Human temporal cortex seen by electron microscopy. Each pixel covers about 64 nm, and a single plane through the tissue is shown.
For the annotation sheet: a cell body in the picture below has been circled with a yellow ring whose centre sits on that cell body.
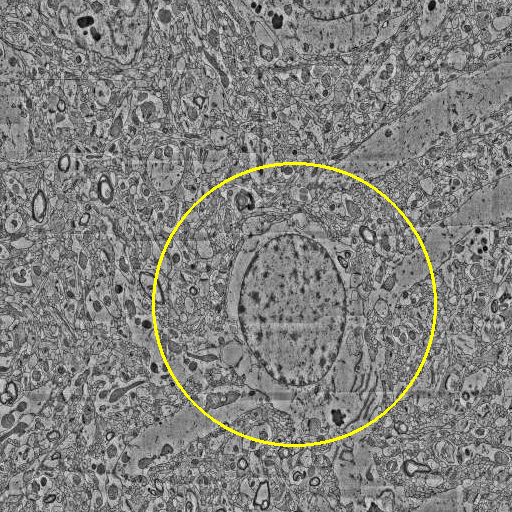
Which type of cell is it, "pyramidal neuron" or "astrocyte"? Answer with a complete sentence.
The circled cell is an astrocyte.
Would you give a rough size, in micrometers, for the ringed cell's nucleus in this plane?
Roughly 10 micrometres by 7 micrometres, in this plane.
